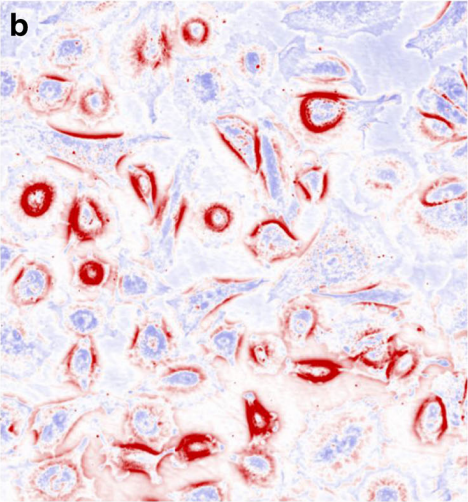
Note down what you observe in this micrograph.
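Most cells are flat, with pale bluish oval nuclei and faint cytoplasm. Many cells are rimmed by intense dark red material. Around rounded cells it forms thick rings, and along elongated cells it forms crescents and streaks. Some flat cells between them carry little or no red at all. The deposits sit at the borders of cells rather than over their nuclei, so the red outlines the cells like a frame.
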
